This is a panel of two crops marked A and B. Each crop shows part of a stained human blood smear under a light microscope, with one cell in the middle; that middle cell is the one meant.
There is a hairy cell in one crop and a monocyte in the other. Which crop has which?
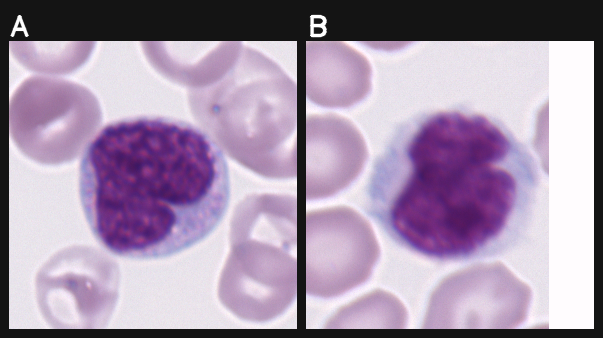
A: monocyte
B: hairy cell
